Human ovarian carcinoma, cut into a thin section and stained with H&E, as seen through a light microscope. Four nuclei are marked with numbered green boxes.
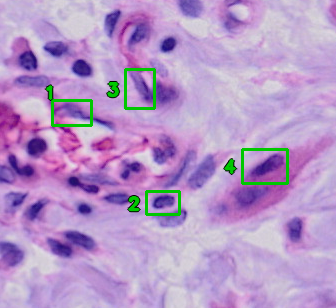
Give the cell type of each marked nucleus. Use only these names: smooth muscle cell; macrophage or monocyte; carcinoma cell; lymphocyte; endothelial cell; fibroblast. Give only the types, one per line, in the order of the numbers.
endothelial cell
lymphocyte
endothelial cell
smooth muscle cell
